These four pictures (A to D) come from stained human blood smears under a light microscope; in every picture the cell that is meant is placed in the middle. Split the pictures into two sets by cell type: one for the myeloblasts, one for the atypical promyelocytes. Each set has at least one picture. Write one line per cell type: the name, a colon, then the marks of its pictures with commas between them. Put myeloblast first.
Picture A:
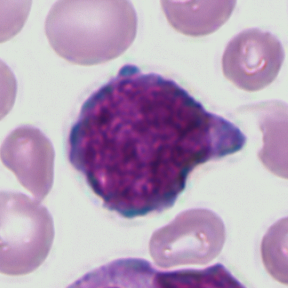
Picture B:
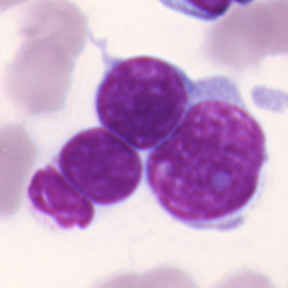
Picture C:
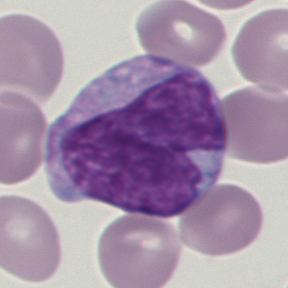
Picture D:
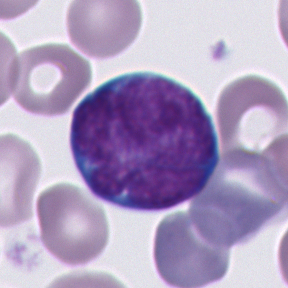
myeloblast: B, D
atypical promyelocyte: A, C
